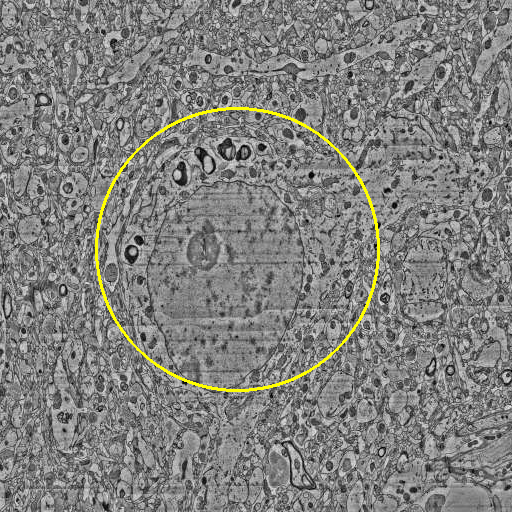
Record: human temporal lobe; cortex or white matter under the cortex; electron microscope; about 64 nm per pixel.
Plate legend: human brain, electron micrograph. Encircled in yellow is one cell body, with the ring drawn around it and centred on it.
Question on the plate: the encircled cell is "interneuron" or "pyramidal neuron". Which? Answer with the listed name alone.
pyramidal neuron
